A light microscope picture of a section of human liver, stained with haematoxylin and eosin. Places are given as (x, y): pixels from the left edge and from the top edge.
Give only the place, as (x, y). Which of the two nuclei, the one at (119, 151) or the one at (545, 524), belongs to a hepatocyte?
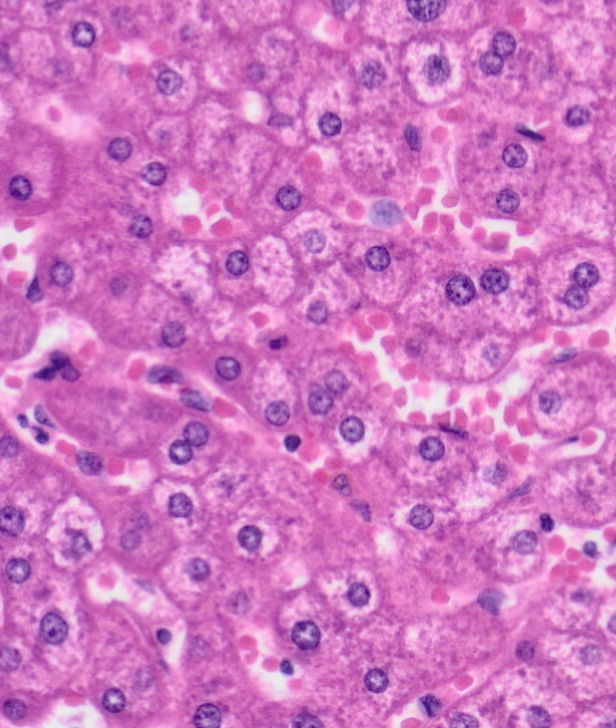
(119, 151)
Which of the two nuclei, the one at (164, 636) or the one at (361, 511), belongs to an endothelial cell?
(361, 511)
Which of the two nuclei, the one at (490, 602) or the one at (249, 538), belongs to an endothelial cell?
(490, 602)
